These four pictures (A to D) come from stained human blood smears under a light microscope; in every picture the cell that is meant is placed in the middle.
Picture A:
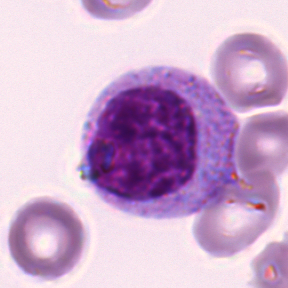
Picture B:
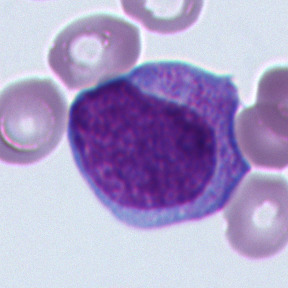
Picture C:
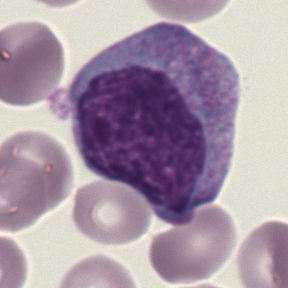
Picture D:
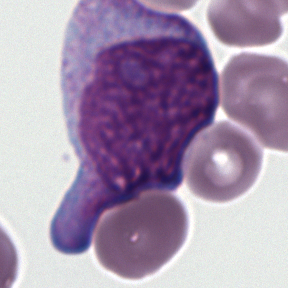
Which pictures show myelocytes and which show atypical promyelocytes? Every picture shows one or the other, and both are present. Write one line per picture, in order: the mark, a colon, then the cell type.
A: myelocyte
B: atypical promyelocyte
C: atypical promyelocyte
D: atypical promyelocyte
